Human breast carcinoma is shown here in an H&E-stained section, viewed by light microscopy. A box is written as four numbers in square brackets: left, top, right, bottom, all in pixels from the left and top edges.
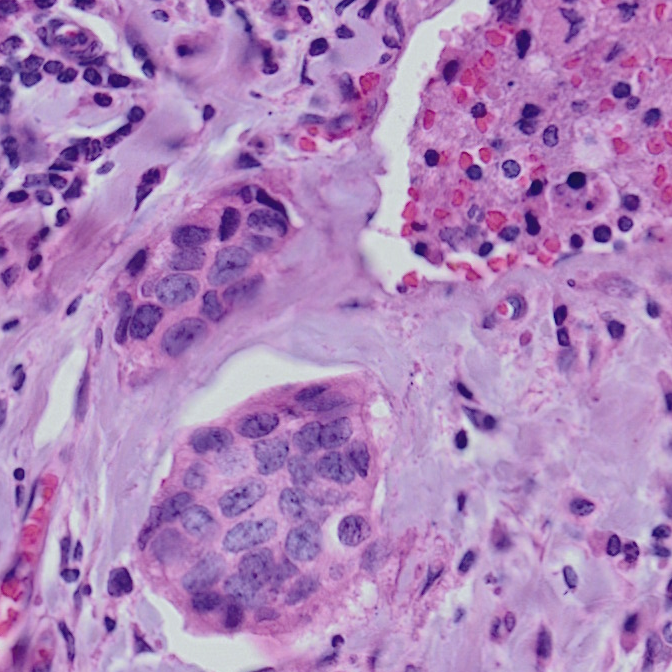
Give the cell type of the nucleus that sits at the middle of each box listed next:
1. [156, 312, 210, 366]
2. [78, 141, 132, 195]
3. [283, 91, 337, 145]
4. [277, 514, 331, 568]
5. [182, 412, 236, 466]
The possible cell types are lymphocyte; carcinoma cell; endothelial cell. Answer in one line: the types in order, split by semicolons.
carcinoma cell; lymphocyte; endothelial cell; carcinoma cell; carcinoma cell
